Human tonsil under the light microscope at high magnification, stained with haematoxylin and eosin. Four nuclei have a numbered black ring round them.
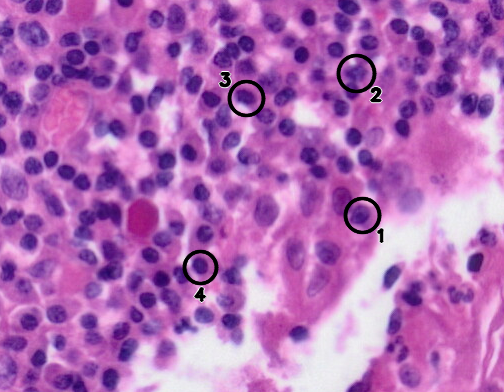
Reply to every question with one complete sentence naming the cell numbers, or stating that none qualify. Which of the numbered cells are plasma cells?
Identified as plasma cells are the cells numbered 2, 3 and 4.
